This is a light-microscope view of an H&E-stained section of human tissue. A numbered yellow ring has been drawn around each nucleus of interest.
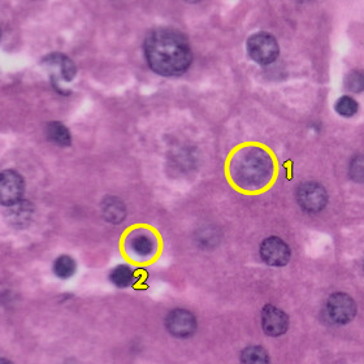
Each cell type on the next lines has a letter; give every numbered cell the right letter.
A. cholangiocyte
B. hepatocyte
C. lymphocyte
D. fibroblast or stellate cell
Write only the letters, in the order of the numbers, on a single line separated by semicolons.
B; C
